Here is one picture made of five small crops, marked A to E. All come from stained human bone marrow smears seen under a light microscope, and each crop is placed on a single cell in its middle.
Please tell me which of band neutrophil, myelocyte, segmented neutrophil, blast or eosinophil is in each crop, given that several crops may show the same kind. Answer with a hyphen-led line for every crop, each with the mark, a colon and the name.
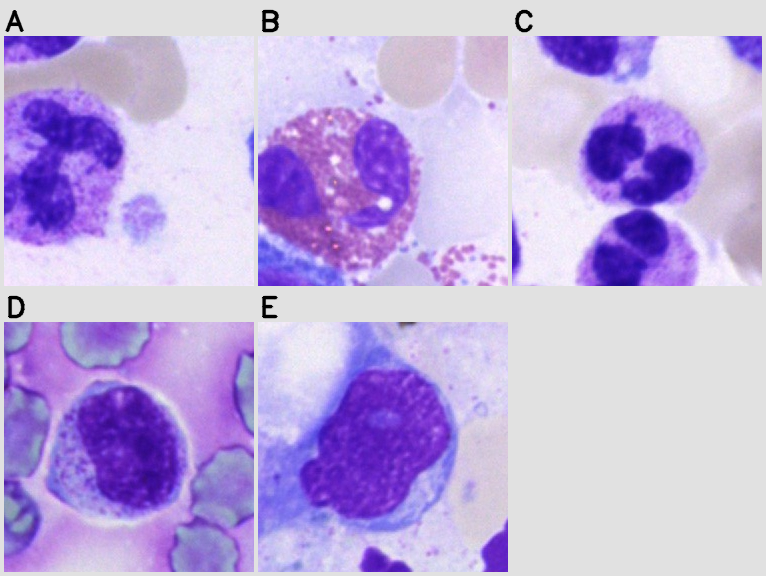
- A: segmented neutrophil
- B: eosinophil
- C: segmented neutrophil
- D: myelocyte
- E: blast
